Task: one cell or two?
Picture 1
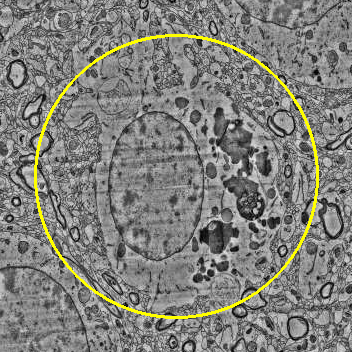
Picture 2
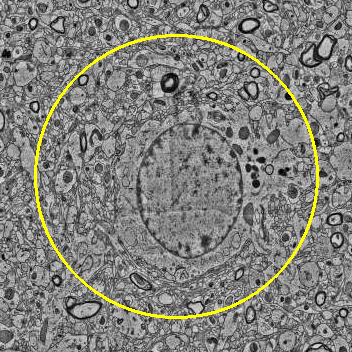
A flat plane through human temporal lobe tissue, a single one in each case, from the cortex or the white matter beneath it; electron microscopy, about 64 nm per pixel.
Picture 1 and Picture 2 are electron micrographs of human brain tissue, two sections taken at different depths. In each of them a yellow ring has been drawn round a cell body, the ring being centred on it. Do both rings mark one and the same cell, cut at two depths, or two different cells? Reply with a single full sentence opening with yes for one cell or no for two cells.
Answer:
No, the marked cells are two, not one.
